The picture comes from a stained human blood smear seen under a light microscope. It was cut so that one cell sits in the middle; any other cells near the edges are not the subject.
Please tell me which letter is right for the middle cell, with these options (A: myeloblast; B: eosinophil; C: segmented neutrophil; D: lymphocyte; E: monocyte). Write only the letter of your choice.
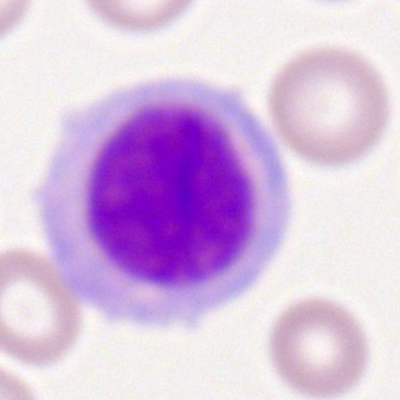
E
